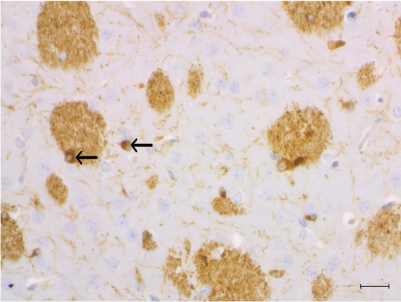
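This is deep gray matter, where rounded bundles of interspersed white matter are cut across and stand out as solid brown patches. Between the bundles the gray matter is pale, with blue nuclei and only a few thin brown fibres crossing it. Small cells with round, darkly brown cell bodies sit at the edges of the bundles, with the look of oligodendrocytes. The bundles vary in size, some small and round, others large and irregular.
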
